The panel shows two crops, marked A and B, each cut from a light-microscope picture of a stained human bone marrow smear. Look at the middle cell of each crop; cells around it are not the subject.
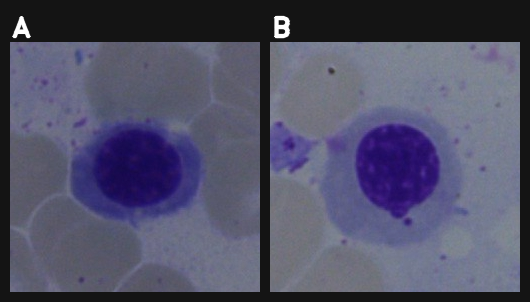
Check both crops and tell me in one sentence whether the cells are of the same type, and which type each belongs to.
Yes, erythroblasts are shown in both crops.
